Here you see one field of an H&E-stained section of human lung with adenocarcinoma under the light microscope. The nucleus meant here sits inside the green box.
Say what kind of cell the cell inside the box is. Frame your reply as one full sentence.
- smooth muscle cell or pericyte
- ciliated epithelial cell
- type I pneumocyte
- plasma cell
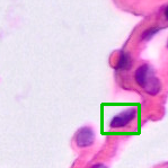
The expected answer is simply that the cell inside the box is a type I pneumocyte.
